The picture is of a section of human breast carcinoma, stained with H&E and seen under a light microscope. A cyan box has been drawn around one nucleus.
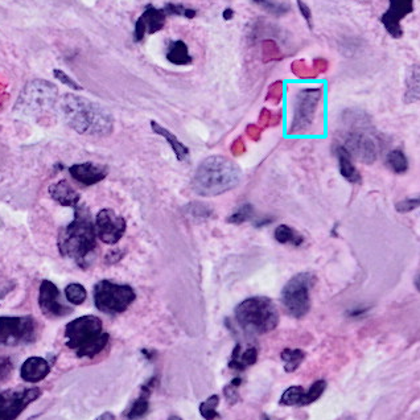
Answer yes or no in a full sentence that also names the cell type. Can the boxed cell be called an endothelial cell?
Yes, the naming of the boxed cell as an endothelial cell is correct.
